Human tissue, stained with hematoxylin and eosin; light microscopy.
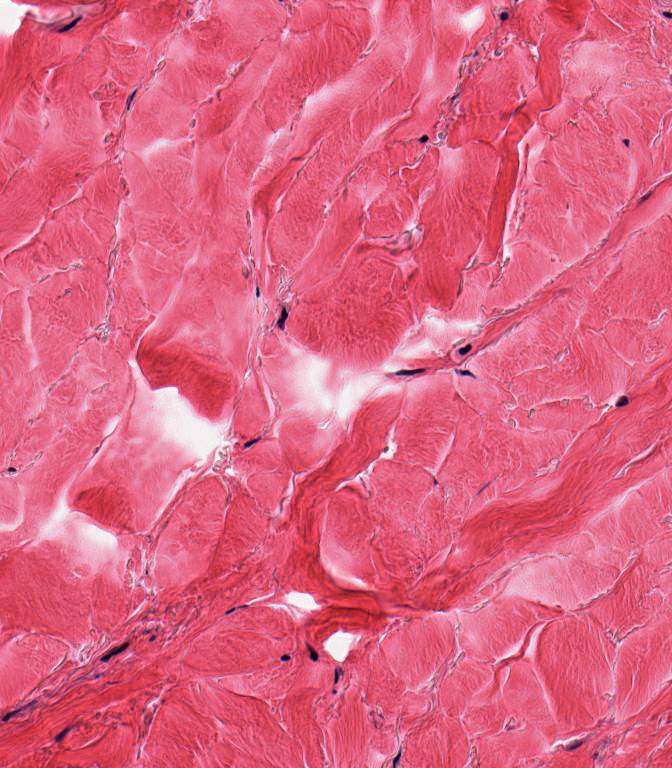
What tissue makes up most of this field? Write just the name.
dermis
